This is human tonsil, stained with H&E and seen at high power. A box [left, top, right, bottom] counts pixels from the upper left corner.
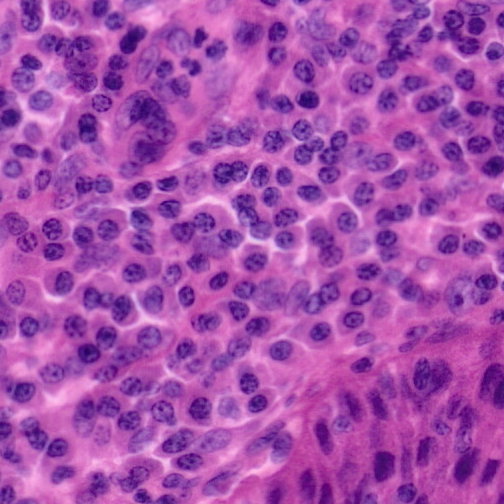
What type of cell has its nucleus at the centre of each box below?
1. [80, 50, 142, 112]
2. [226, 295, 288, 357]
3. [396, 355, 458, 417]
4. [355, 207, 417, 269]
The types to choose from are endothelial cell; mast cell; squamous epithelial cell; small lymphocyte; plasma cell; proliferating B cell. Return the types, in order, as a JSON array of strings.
["plasma cell", "plasma cell", "squamous epithelial cell", "plasma cell"]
